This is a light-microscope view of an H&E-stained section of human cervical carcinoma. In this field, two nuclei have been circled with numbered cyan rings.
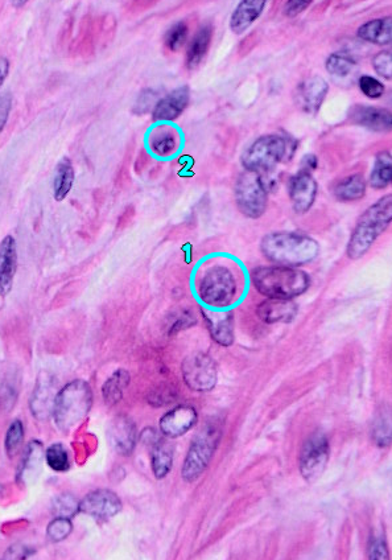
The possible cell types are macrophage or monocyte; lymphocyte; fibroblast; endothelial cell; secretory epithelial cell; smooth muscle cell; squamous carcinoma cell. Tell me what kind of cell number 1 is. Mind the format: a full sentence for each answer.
The cell to which the number 1 is assigned is an endothelial cell.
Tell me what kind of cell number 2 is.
As for number 2, that cell is a smooth muscle cell.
